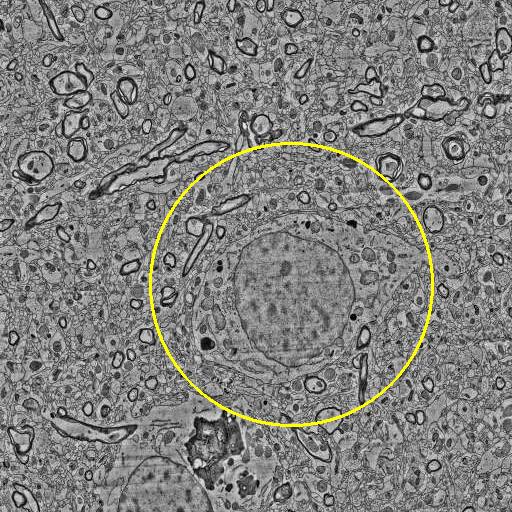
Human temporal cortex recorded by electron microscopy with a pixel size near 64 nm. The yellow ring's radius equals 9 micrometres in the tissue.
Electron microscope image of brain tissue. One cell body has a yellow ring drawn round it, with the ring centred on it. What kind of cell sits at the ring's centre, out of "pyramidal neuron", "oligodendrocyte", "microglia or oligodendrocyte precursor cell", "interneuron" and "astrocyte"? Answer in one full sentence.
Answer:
It is an interneuron whose cell body sits at the centre of the yellow ring.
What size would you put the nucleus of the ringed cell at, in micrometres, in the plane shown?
The nucleus is about 8 micrometres across in this plane.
